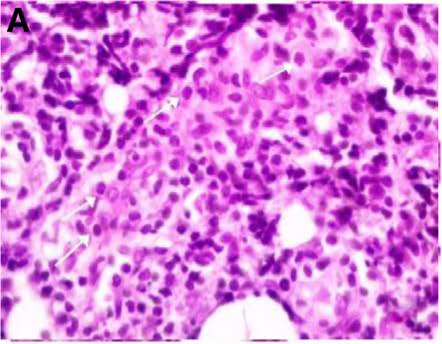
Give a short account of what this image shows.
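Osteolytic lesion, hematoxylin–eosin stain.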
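The larger cells have round to oval nuclei and a moderate rim of purplish cytoplasm, so they look paler and roomier than their neighbours, whose nuclei are small and deeply stained. The cells are packed closely with little stroma between them, and no organised pattern such as glands or trabeculae can be made out. A few clear, rounded empty spaces interrupt the sheet. Overall the picture is of a diffuse, cellular infiltrate rather than normal bone or marrow.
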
